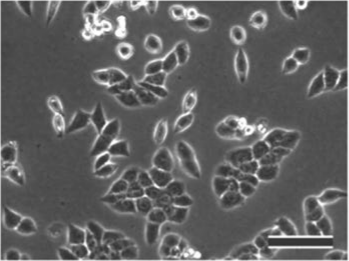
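Cultured cells seen by phase contrast are mostly polygonal and flattened, packed edge to edge in compact clusters. Scattered among the clusters are small rounded, bright refractile cells, and the cells show few long processes.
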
